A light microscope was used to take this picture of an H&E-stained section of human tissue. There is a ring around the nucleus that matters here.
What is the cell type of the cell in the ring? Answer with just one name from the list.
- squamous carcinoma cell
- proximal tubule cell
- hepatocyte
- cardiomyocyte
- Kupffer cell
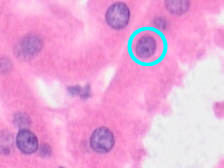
proximal tubule cell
